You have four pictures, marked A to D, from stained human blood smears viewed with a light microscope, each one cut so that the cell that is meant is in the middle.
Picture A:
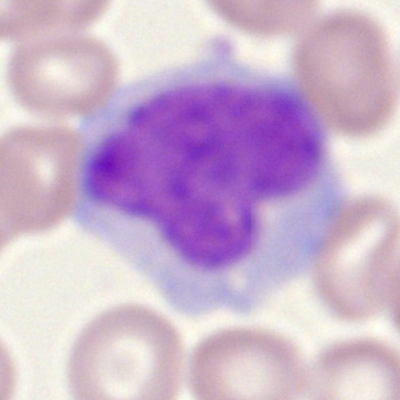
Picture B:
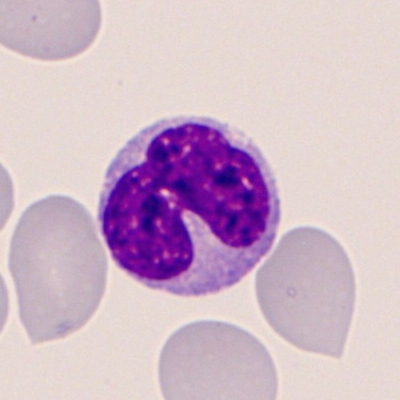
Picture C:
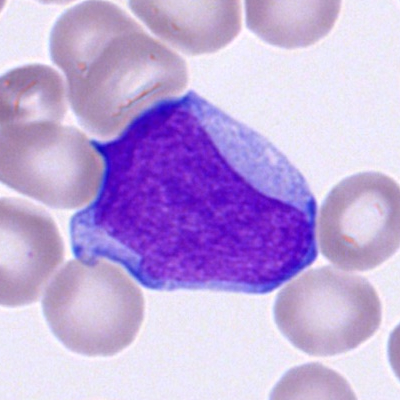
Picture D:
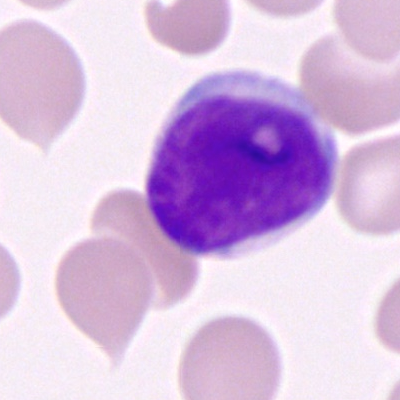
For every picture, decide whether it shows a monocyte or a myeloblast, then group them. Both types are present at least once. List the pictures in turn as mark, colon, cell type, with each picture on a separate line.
A: monocyte
B: monocyte
C: myeloblast
D: myeloblast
